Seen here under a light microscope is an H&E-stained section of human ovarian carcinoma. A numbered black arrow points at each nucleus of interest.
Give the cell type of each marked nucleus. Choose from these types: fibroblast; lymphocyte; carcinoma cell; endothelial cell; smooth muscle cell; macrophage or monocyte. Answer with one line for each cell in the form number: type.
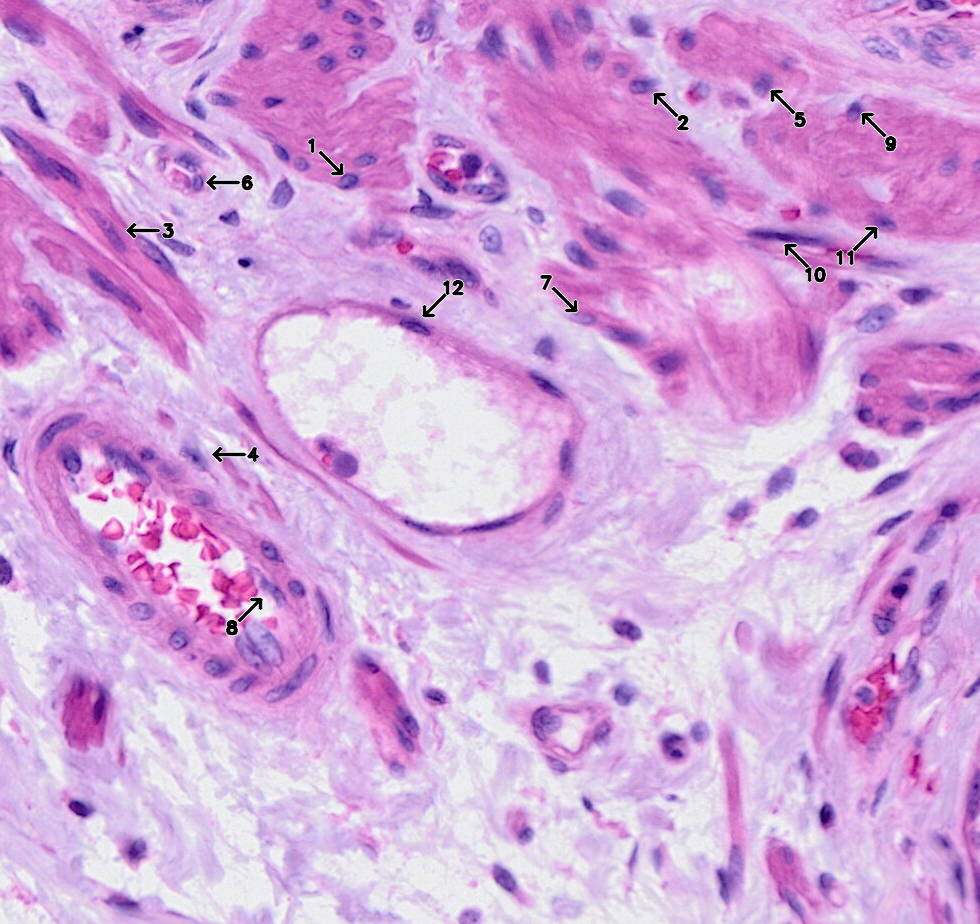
1: smooth muscle cell
2: smooth muscle cell
3: smooth muscle cell
4: fibroblast
5: smooth muscle cell
6: endothelial cell
7: smooth muscle cell
8: endothelial cell
9: smooth muscle cell
10: endothelial cell
11: smooth muscle cell
12: endothelial cell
